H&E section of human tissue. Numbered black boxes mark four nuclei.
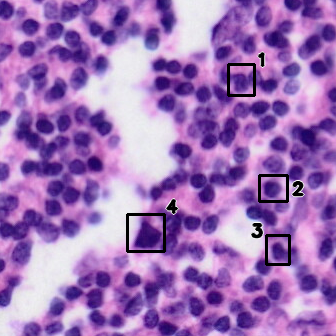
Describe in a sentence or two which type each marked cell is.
Cells 1, 2 and 3 are small lymphocytes. Cell 4 is a proliferating B cell.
